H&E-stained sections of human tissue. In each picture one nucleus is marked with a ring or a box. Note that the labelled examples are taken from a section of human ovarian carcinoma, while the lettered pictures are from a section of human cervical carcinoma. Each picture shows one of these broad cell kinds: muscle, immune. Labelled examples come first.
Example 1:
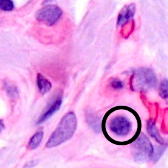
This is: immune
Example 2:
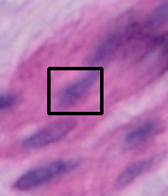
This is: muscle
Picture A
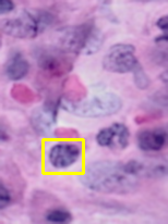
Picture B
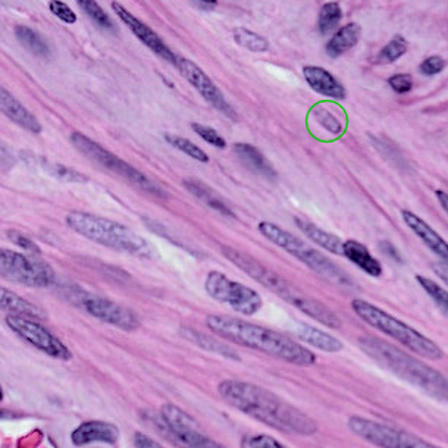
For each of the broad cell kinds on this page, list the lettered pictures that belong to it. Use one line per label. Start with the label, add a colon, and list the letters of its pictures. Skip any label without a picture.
muscle: B
immune: A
